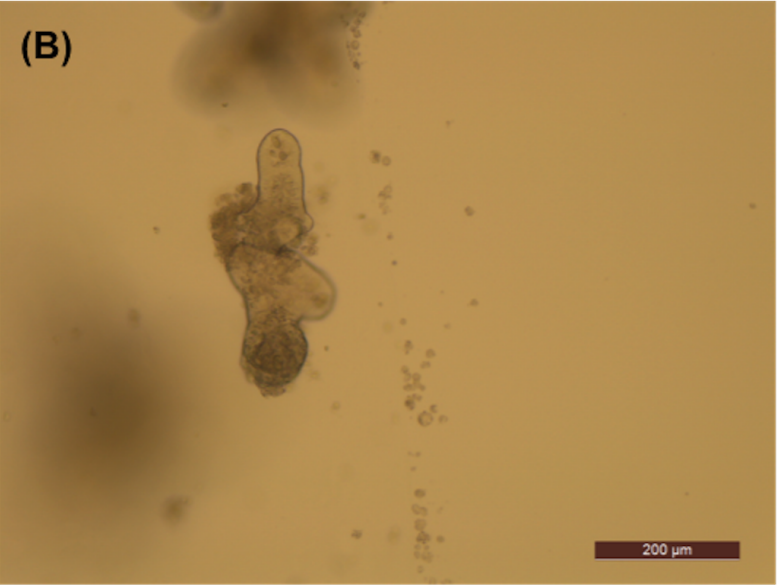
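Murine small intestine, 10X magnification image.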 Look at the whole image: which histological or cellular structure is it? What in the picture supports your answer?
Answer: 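A single elongated epithelial body with a finger-like protrusion at its top. A thin translucent wall surrounds a darker granular interior. Other out-of-focus bodies appear as dark blurs around it. The answer: organoid.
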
